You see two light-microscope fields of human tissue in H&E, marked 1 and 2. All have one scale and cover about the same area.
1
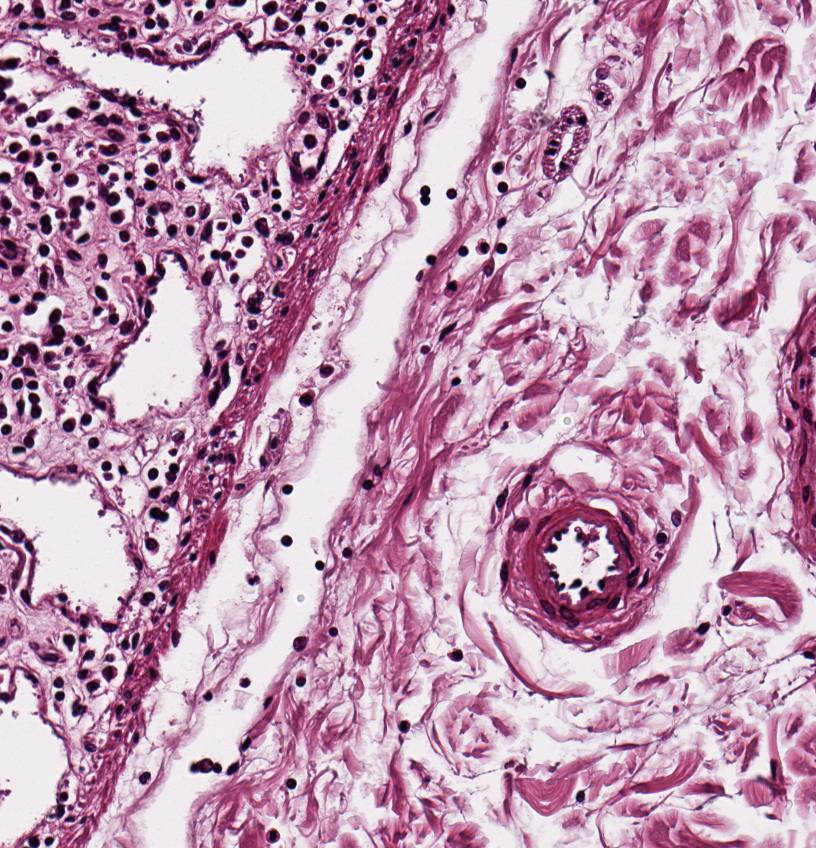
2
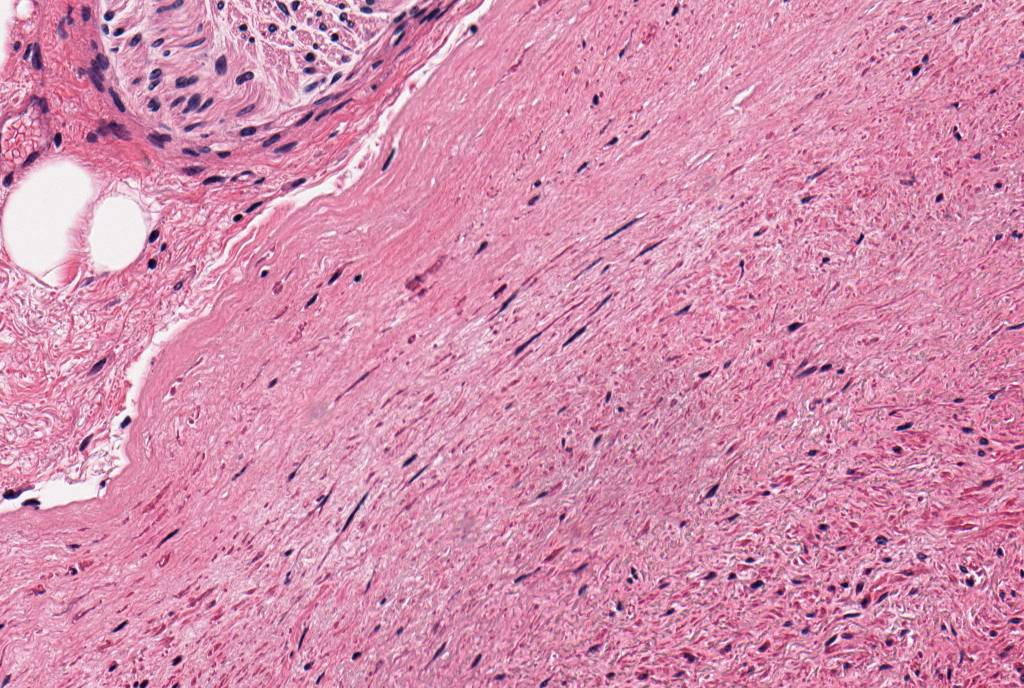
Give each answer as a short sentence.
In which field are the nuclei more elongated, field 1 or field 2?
It is field 2 whose nuclei are the more elongated.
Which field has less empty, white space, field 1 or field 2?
Less of field 2 is empty and white.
